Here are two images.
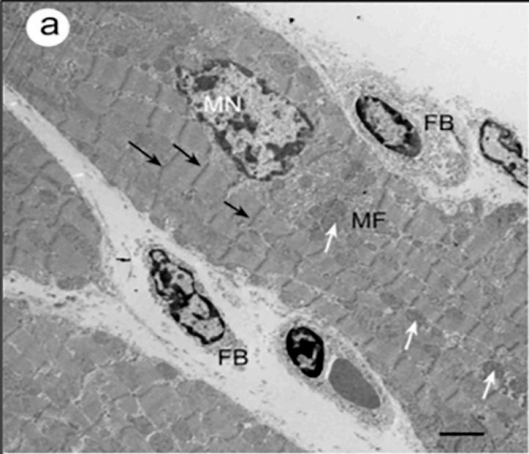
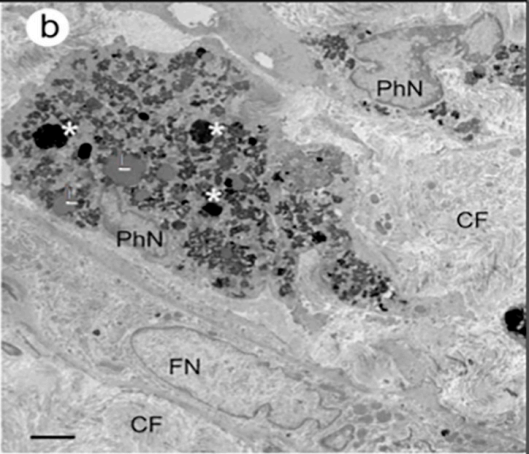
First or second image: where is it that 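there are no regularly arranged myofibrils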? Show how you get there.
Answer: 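The second image. Second image: no striated bundles, only cells with granular inclusions and fibrous matrix. First image: parallel striated myofibrils with regularly spaced transverse dark lines.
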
